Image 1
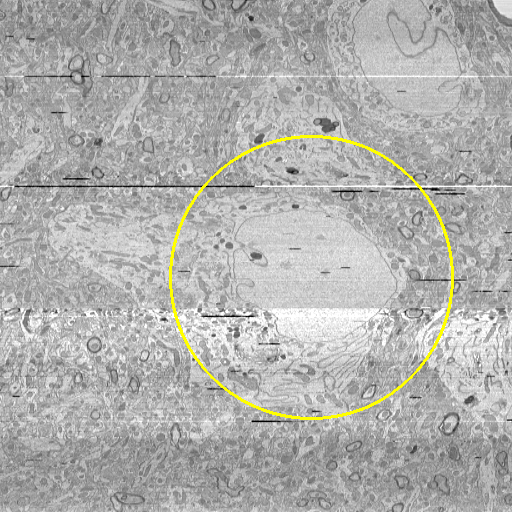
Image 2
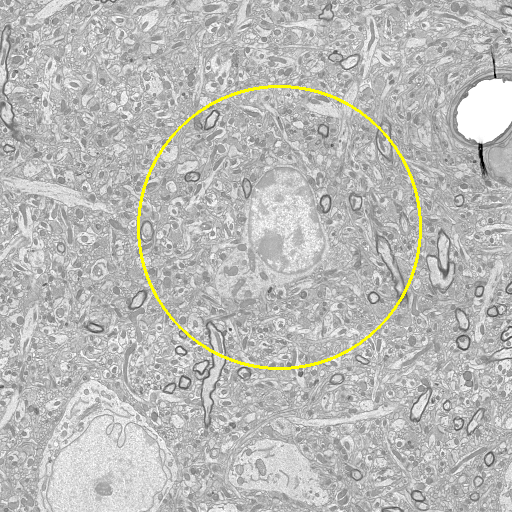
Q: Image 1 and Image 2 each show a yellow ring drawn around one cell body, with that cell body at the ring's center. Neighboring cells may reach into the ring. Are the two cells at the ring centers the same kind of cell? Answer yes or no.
no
